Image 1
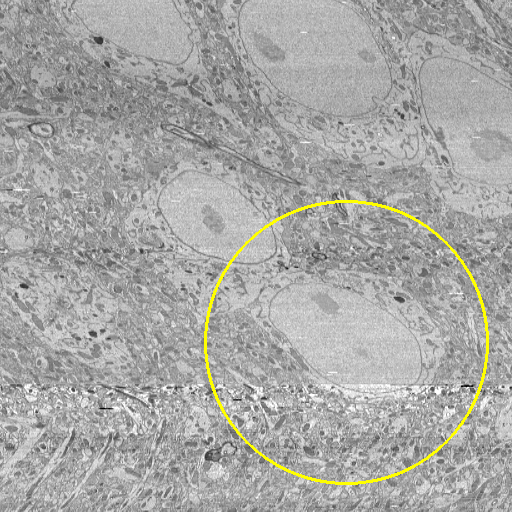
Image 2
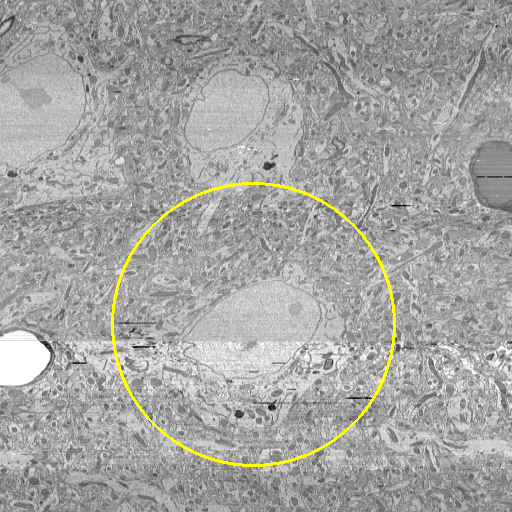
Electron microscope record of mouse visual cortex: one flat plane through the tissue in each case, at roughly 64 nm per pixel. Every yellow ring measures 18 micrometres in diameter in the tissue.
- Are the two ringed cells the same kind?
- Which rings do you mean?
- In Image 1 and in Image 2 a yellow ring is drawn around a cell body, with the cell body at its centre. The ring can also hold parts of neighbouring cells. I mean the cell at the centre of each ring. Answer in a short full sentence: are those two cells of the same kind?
Yes, both cells are of the same kind.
